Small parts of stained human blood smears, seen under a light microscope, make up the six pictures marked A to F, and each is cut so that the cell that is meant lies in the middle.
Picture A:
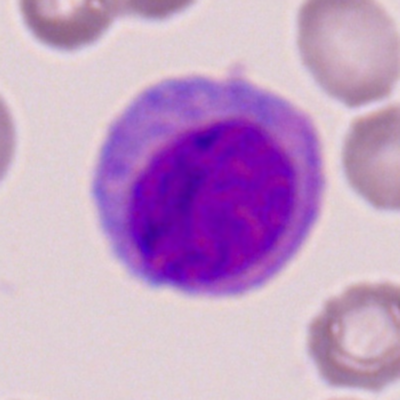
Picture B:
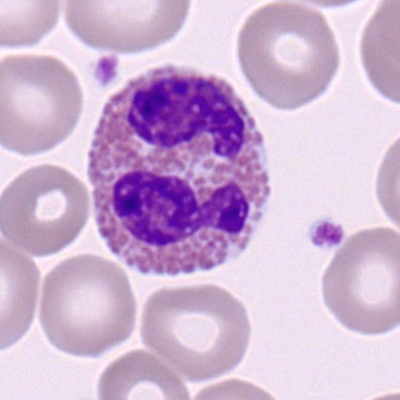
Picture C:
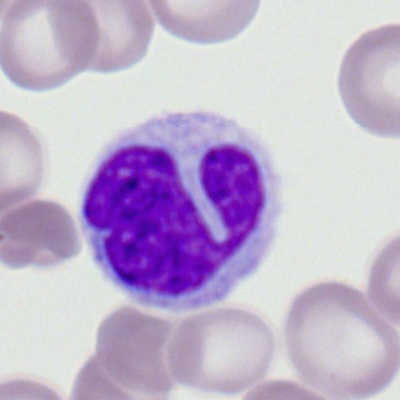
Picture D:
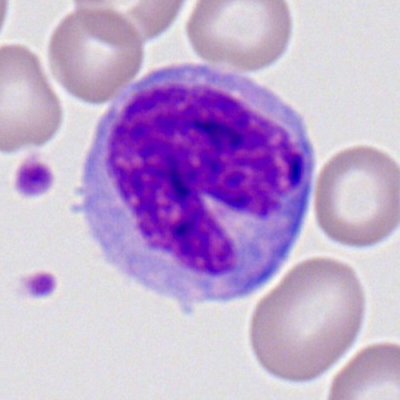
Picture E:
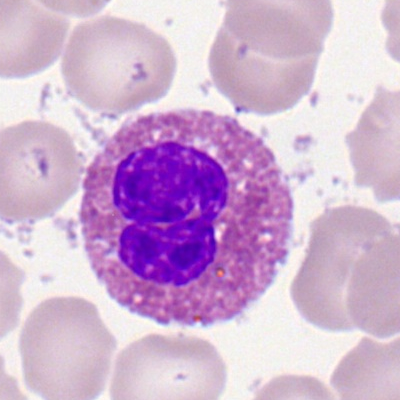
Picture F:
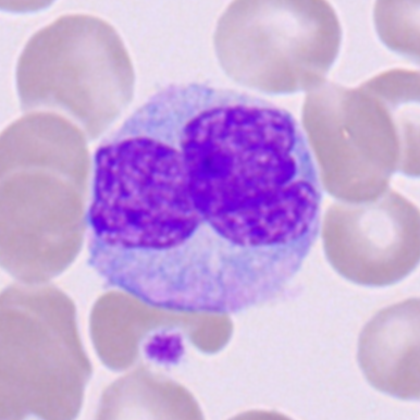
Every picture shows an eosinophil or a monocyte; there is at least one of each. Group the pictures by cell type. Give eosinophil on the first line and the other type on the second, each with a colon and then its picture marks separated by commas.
eosinophil: B, E
monocyte: A, C, D, F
